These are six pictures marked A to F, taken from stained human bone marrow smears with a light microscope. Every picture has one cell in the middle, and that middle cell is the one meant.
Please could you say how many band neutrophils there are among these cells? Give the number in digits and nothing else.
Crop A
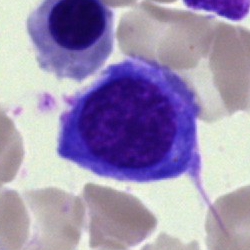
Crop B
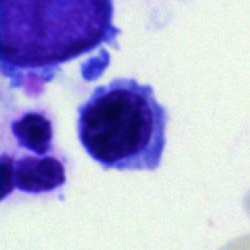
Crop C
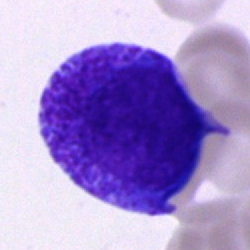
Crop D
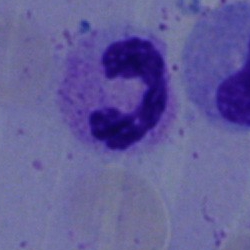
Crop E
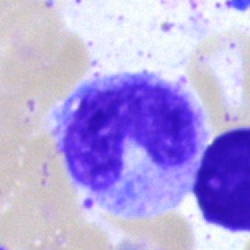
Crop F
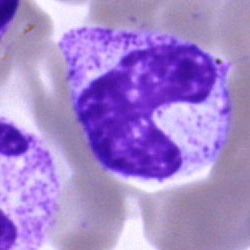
3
